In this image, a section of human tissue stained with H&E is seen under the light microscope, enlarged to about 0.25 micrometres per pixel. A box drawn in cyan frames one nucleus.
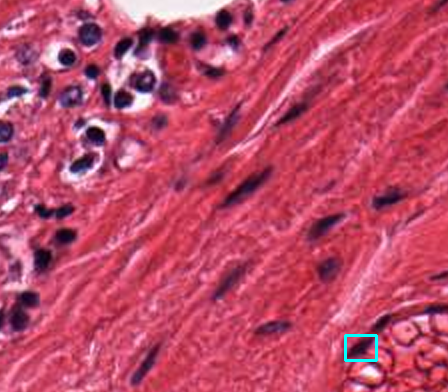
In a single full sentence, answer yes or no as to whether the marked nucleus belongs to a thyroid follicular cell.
No, the cell bearing the marked nucleus is not a thyroid follicular cell but a supporting cell.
